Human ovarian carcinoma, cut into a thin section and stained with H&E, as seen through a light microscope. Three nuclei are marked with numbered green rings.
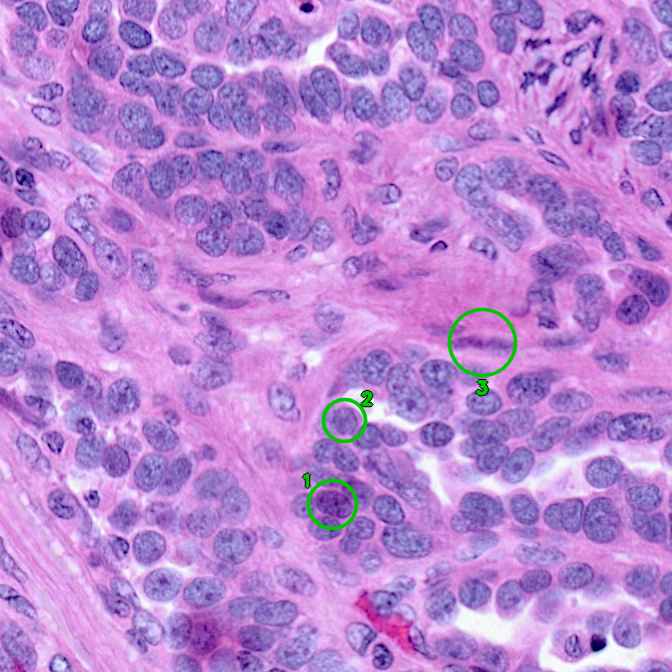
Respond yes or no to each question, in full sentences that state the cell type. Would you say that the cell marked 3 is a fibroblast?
Yes, the cell referred to as number 3 is a fibroblast.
